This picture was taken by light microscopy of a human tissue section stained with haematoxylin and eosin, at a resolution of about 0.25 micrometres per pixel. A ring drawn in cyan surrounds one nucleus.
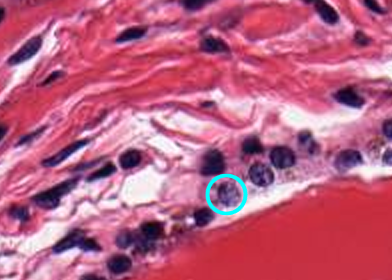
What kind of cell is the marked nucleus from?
thyroid follicular cell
